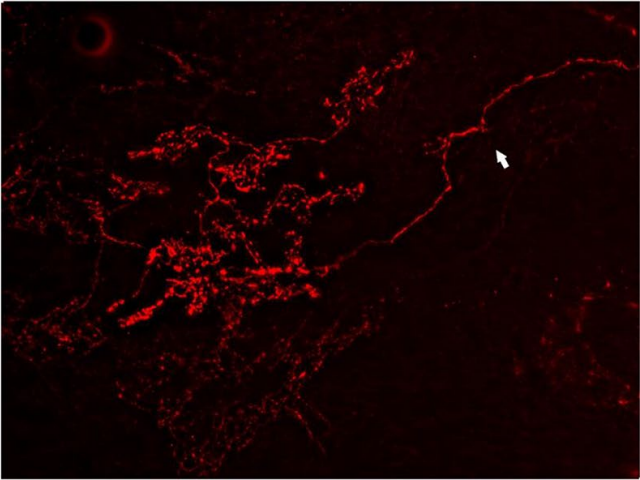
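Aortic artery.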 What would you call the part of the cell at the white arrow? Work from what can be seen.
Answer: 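The arrow points at a long, thin red fibre running from the upper right. The fibre leads into and branches among the clustered red endings.
Hence: single parent axon.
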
